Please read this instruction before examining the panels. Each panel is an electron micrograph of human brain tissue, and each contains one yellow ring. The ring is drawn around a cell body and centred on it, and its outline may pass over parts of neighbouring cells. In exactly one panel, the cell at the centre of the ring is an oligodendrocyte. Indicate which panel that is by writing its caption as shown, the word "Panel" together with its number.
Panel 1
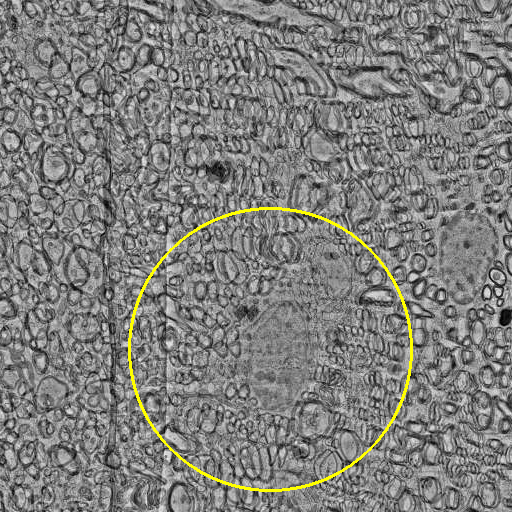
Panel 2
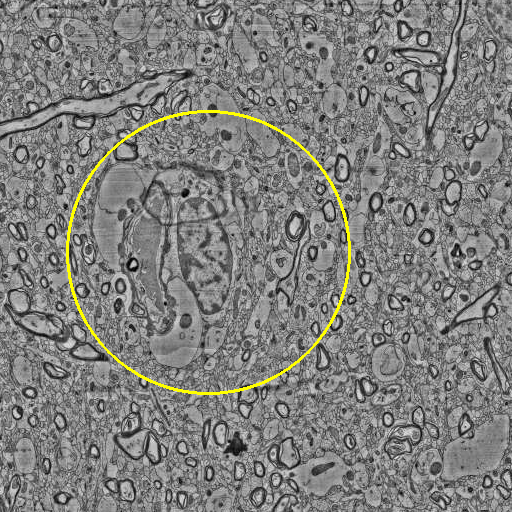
Panel 1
